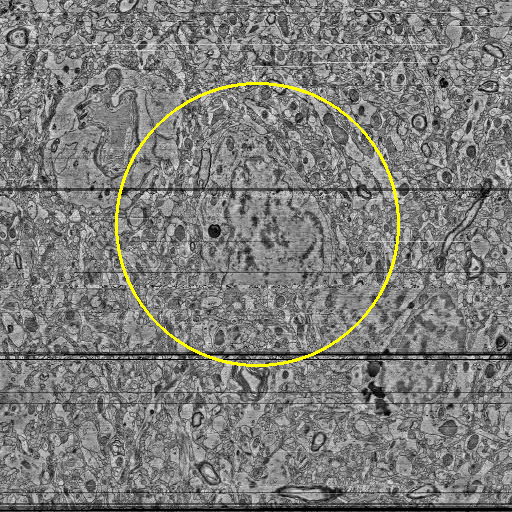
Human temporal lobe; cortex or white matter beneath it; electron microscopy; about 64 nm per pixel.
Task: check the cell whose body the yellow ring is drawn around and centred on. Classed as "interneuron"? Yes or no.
Yes, it is classed that way.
